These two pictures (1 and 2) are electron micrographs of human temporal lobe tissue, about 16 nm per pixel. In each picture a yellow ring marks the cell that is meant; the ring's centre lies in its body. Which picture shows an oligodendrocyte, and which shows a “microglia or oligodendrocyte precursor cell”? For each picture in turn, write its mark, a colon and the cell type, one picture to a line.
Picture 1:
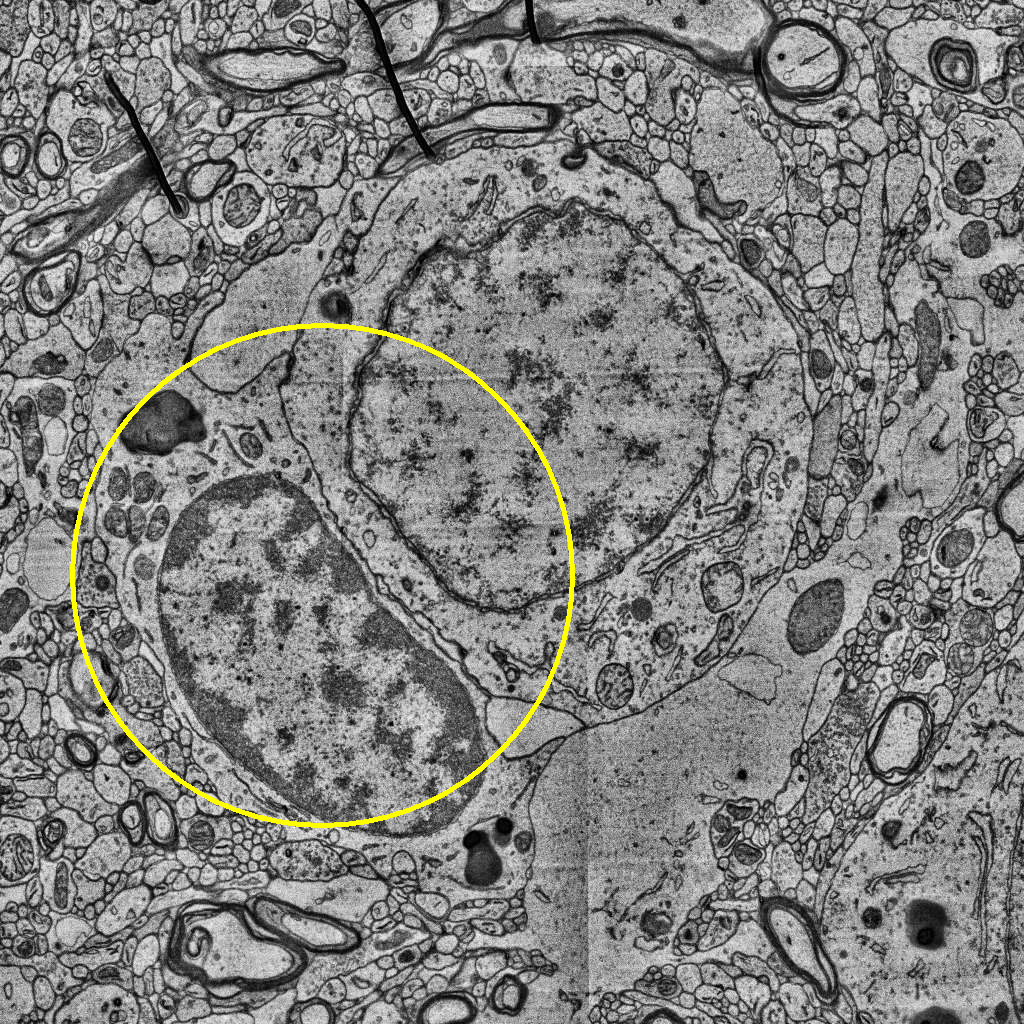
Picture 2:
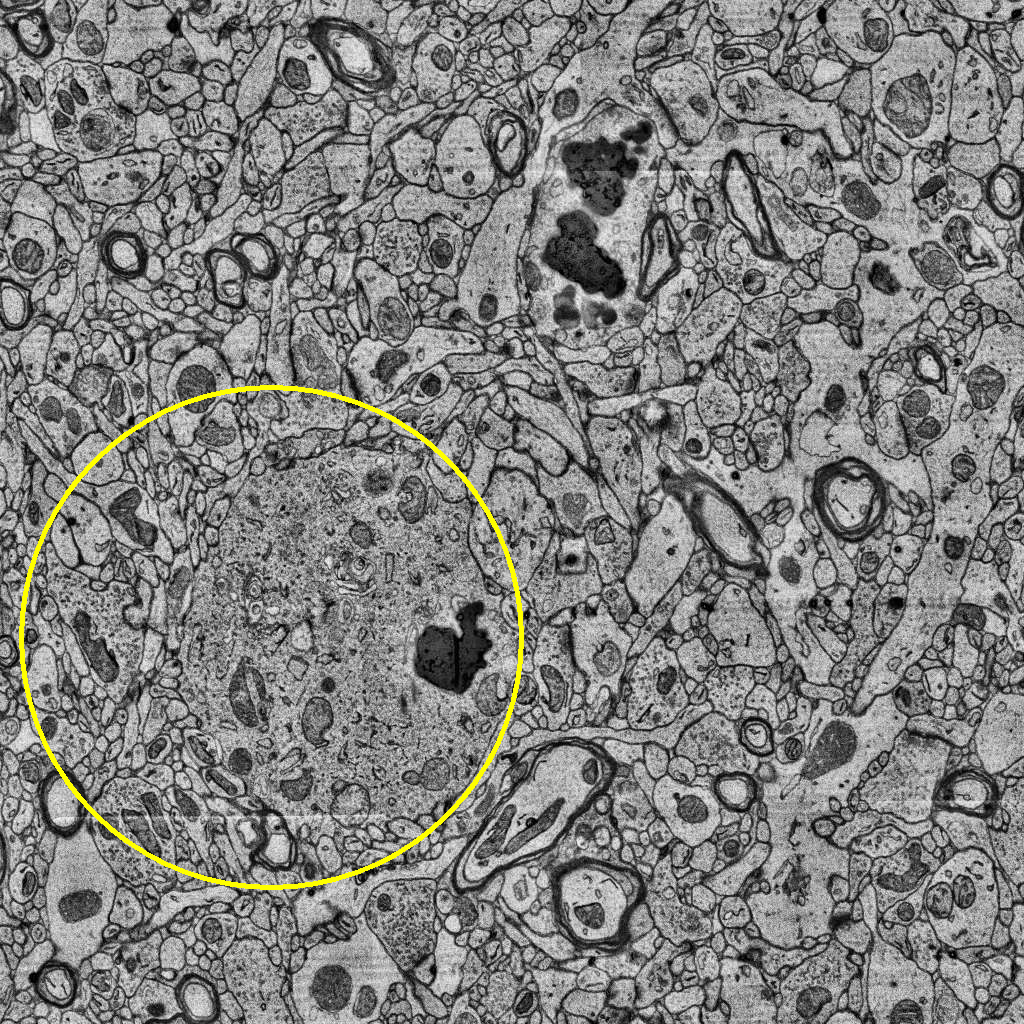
1: microglia or oligodendrocyte precursor cell
2: oligodendrocyte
